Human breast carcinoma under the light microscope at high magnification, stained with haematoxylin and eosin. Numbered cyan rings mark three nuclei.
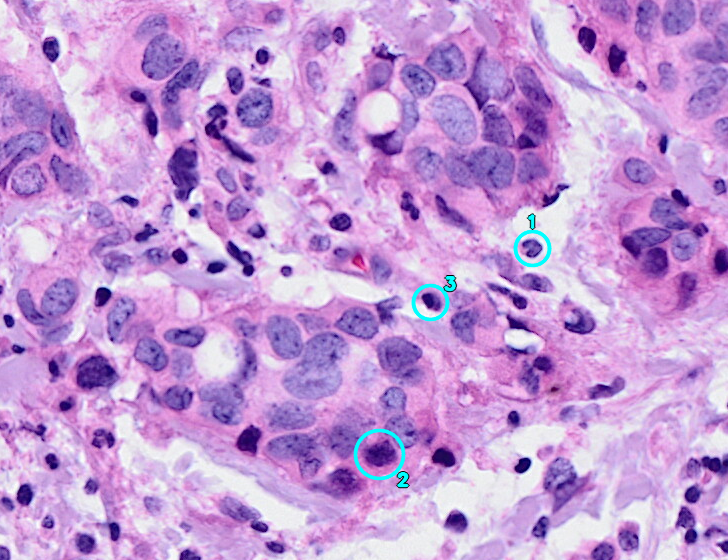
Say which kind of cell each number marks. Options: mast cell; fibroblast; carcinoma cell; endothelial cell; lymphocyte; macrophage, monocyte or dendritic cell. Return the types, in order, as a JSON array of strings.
["lymphocyte", "carcinoma cell", "lymphocyte"]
